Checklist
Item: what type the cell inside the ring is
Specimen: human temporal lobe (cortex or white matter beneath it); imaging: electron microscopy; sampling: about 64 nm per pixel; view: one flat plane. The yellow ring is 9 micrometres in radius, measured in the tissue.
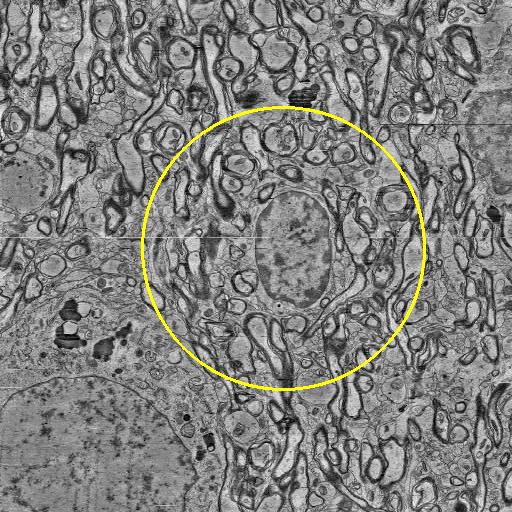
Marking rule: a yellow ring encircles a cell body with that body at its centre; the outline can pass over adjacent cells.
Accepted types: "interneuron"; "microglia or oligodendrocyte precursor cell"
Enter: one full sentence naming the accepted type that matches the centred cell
The entry is that a microglial cell or oligodendrocyte precursor cell lies at the centre of the yellow ring.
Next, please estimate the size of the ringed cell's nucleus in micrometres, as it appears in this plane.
In this plane the nucleus is roughly 8 by 5 micrometres, clearly longer than it is wide.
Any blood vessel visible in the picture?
No, none shows.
